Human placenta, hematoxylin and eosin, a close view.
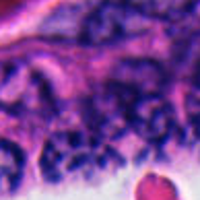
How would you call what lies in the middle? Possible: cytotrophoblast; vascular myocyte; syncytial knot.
I would call it a syncytial knot.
